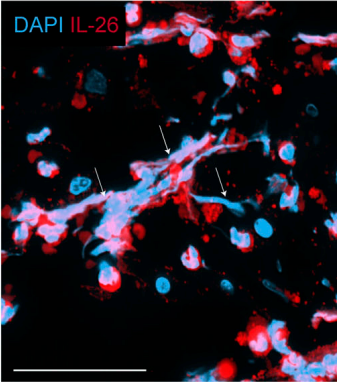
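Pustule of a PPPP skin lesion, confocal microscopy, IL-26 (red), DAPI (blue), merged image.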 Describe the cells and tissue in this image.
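The central diffuse blue mass and its thin branching threads are coated with red, giving pink to magenta tones along the strands. Many surrounding cells show a red rim or red cytoplasm around their blue nuclei. Small red granular dots are scattered through the spaces between cells. A few nuclei elsewhere stay purely blue without red around them.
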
